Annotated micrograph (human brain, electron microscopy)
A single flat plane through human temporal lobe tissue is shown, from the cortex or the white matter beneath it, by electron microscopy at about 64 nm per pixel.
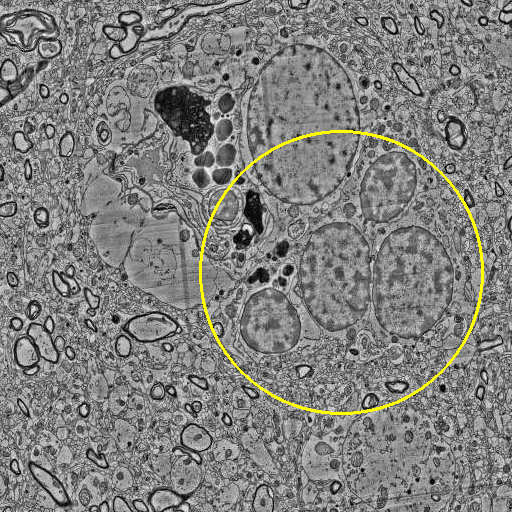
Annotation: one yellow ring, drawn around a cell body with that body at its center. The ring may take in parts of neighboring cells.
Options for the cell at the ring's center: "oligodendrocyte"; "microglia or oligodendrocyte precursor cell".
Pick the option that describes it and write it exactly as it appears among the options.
oligodendrocyte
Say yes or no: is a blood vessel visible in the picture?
Yes, a blood vessel shows in the picture.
